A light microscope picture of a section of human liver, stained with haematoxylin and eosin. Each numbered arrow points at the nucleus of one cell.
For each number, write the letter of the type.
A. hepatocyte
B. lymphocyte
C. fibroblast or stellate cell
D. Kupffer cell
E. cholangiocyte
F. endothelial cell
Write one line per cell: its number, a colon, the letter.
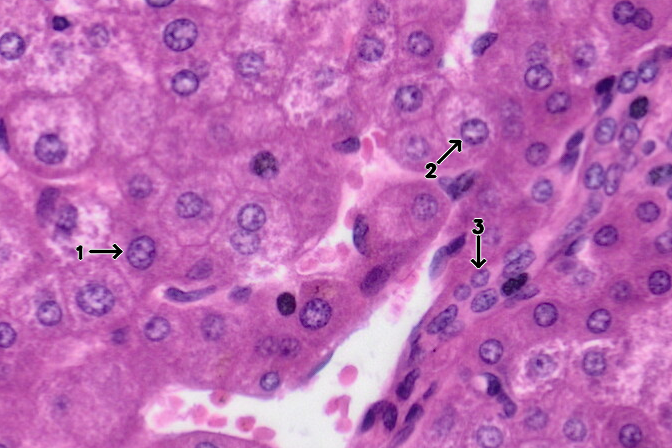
1: A
2: A
3: E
